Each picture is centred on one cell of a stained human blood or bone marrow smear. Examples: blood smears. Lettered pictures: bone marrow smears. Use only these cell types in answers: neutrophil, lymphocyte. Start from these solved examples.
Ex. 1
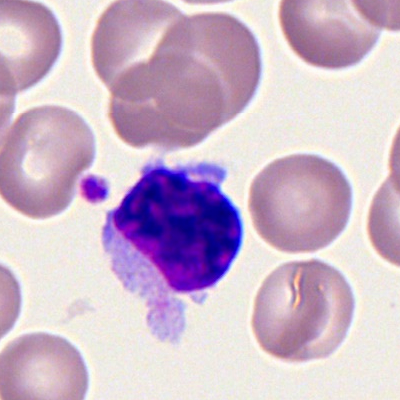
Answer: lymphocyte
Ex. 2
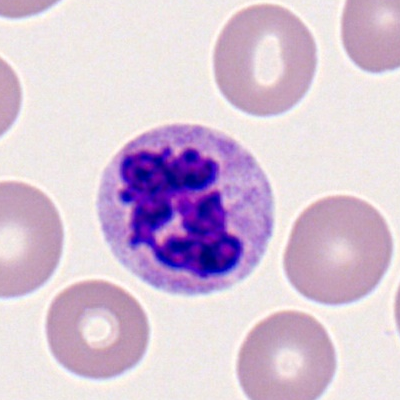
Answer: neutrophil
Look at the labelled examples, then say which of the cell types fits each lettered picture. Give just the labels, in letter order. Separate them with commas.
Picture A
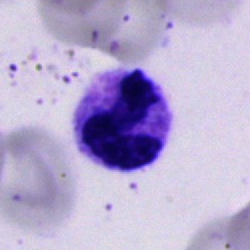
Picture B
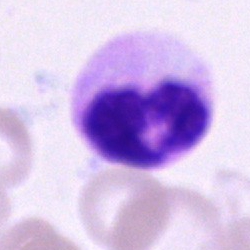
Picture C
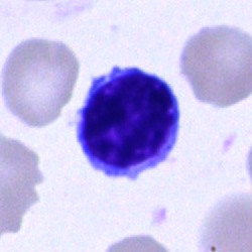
neutrophil, neutrophil, lymphocyte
